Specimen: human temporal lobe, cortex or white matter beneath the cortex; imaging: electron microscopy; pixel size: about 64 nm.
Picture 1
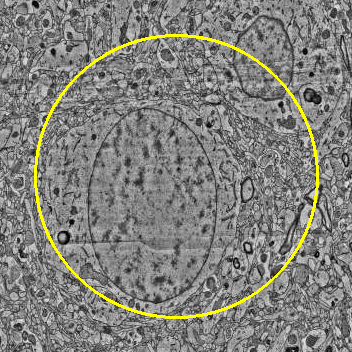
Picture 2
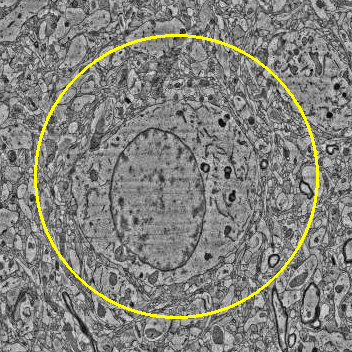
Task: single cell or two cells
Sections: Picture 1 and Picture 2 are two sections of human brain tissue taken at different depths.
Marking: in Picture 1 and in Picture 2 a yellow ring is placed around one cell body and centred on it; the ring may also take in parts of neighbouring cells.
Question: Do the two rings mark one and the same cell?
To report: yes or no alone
yes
